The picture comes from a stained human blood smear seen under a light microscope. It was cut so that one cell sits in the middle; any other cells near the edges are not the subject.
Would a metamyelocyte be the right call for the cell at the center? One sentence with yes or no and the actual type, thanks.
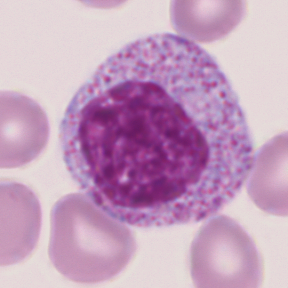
No, the central cell is identified not as a metamyelocyte but as a myelocyte.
